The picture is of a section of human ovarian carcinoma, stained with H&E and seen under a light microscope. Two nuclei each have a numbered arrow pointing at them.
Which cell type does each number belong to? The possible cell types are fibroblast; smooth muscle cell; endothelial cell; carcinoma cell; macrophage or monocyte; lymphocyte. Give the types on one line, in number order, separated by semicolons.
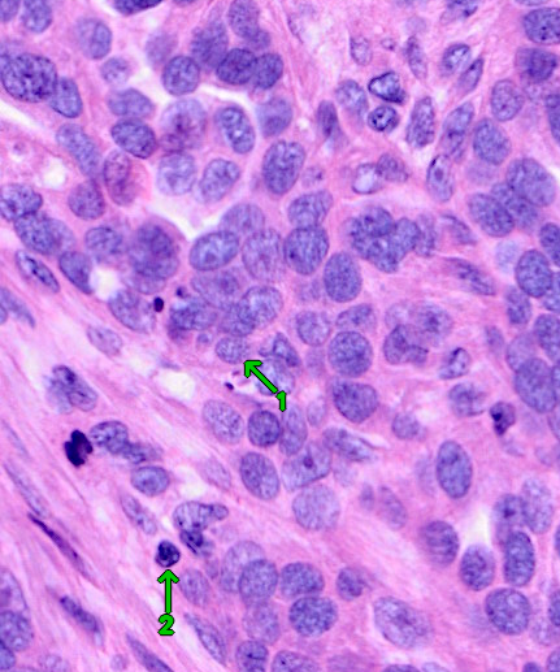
carcinoma cell; lymphocyte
